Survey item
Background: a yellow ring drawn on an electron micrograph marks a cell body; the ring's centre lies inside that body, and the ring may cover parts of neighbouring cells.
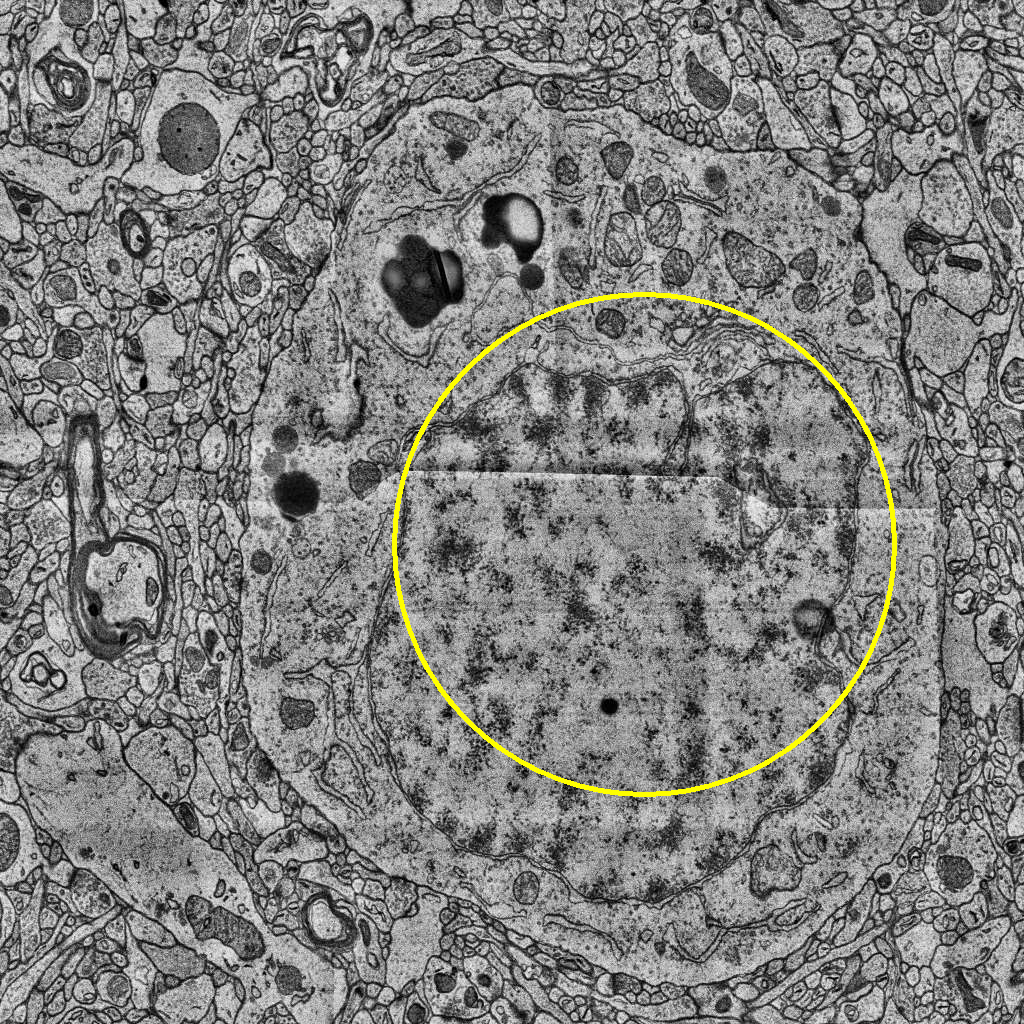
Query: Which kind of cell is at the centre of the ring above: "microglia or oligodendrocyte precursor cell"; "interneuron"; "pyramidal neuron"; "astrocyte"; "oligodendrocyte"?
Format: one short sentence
The cell in the middle of the ring is an interneuron.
